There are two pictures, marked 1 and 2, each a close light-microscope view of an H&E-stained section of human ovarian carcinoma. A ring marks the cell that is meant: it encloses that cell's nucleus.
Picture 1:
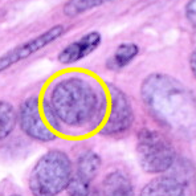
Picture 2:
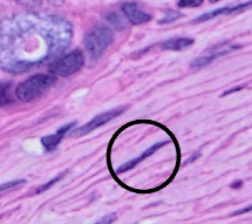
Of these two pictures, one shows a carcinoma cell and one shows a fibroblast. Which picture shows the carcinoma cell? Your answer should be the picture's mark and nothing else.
1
